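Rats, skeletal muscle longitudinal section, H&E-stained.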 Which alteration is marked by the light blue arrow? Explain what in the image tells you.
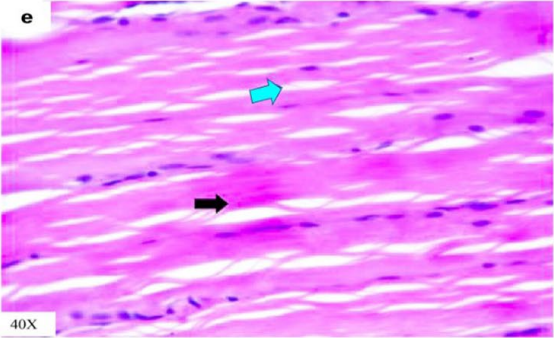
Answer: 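Clear white clefts separate the parallel fibers. The arrow lies at such a cleft.
Conclusion: interfibrillar edema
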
